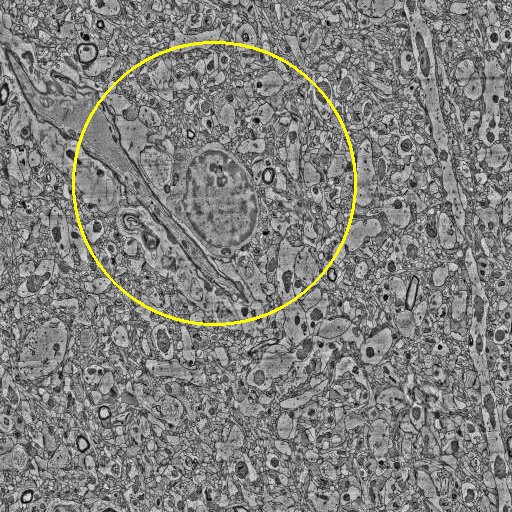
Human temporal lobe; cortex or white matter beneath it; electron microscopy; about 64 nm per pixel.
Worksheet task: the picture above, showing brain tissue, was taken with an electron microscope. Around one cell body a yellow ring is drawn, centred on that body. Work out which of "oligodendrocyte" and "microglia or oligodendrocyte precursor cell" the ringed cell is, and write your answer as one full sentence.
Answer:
It is an oligodendrocyte whose cell body lies at the centre of the yellow ring.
